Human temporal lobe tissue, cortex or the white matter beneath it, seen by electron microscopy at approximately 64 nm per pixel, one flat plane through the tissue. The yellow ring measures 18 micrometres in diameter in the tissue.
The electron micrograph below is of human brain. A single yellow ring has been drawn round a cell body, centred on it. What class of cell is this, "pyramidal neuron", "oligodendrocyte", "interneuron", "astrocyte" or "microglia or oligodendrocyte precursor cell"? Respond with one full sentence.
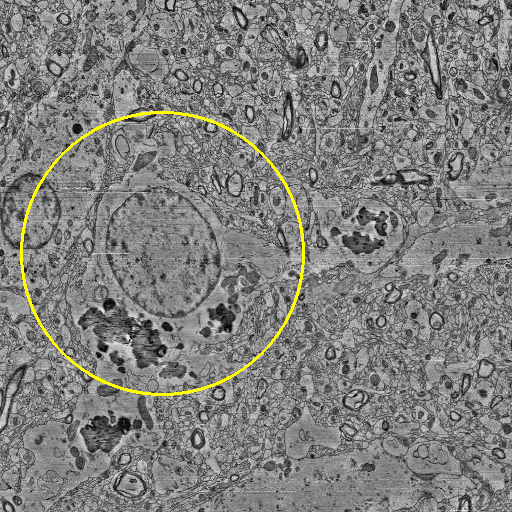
In the micrograph, the cell centred inside the yellow ring is an astrocyte.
